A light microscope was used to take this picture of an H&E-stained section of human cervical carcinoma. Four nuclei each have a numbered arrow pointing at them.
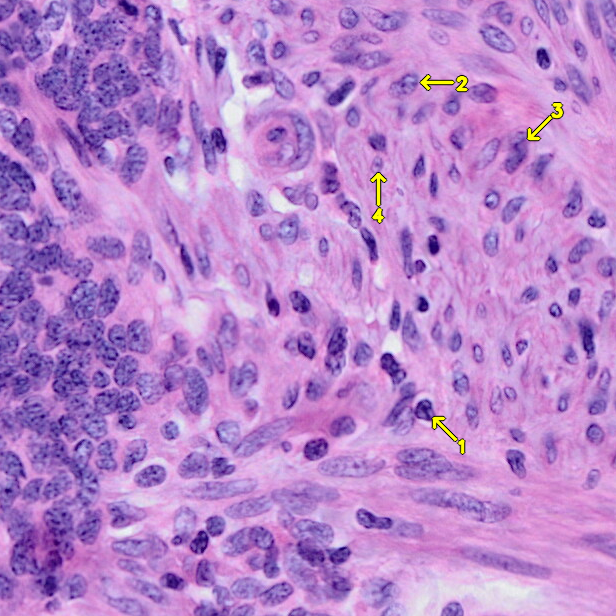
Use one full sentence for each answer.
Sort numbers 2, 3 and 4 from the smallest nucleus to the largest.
By area, going up from the smallest, they rank 4, 2, 3.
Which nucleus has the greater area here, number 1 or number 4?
It is nucleus 1, which covers about 3 times the area of nucleus 4.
